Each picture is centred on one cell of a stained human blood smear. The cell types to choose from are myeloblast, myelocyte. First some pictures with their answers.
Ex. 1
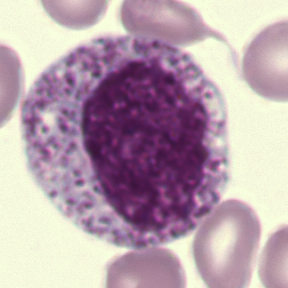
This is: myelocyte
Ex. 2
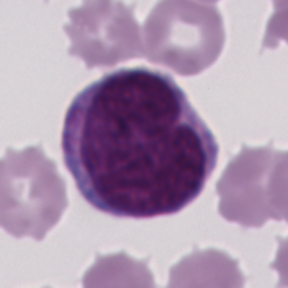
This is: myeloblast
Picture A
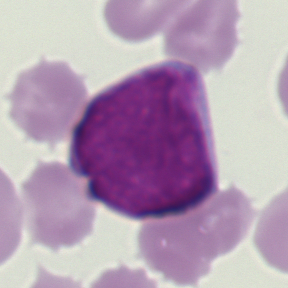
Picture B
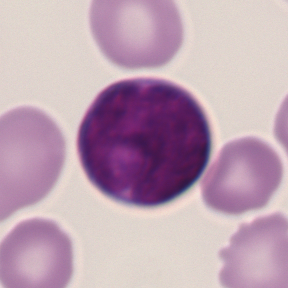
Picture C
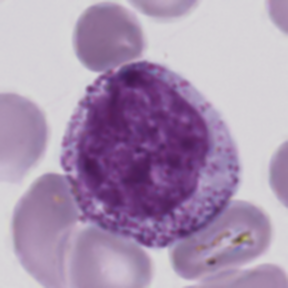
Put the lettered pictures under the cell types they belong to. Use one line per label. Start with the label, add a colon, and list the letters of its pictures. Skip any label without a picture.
myeloblast: A, B
myelocyte: C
